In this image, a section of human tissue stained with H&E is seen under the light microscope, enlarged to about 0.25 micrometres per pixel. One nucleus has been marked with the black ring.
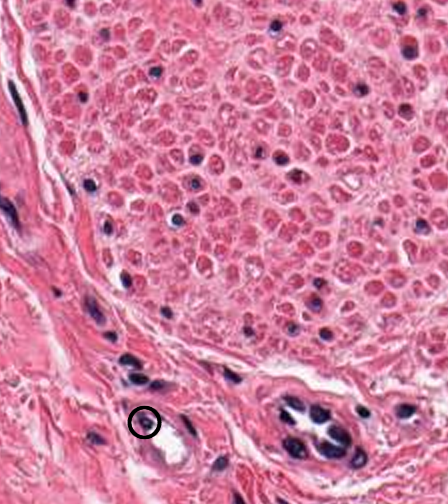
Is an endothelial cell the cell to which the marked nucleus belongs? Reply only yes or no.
yes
